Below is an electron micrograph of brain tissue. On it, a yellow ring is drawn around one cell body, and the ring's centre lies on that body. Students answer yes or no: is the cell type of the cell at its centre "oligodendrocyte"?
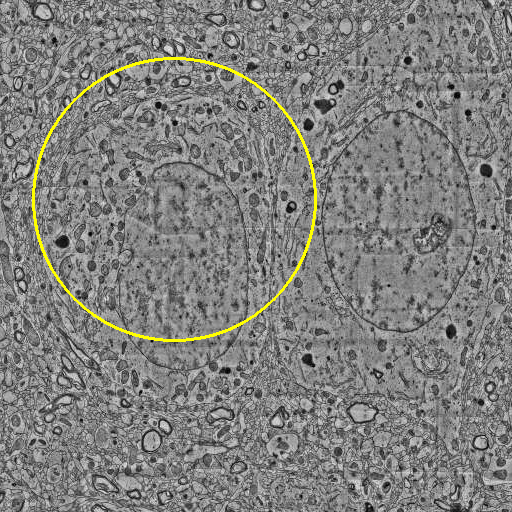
no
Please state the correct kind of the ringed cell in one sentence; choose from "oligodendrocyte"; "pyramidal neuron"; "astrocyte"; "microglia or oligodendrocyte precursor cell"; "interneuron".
The cell circled by the yellow ring is an interneuron.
